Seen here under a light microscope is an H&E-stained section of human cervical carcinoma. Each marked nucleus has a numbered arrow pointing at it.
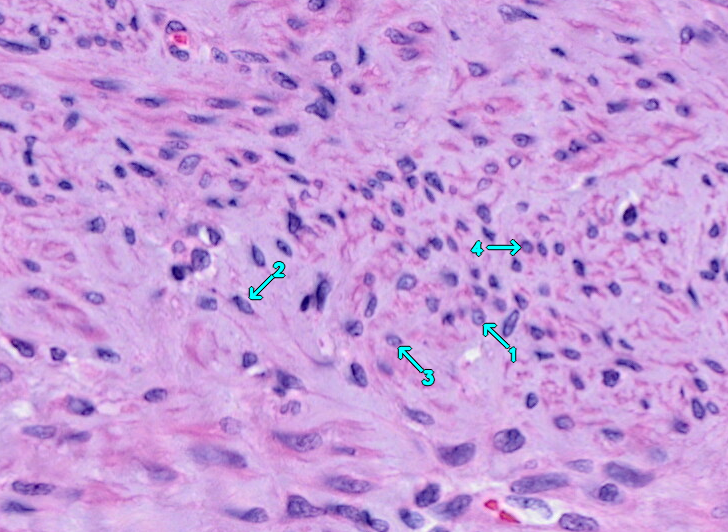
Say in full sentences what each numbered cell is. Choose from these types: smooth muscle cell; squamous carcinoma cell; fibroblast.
Cell 1 is a smooth muscle cell, cell 2 is a fibroblast, cell 3 is a smooth muscle cell and cell 4 is a smooth muscle cell.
